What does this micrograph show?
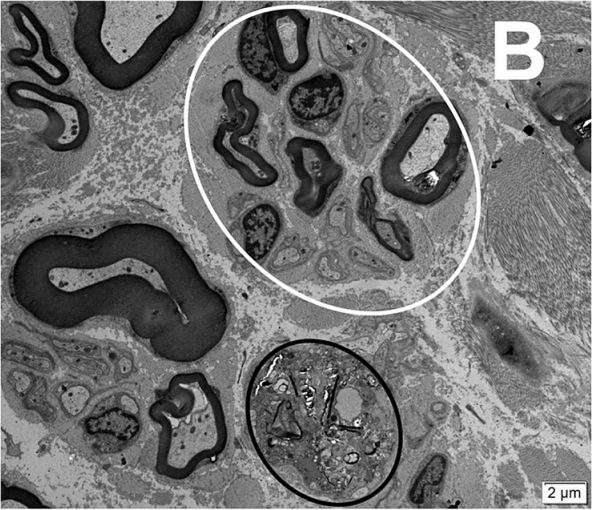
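An electron micrograph of peripheral nerve in cross section shows large fibers with thick, electron-dense myelin sheaths, some folded or irregular, set in collagen-rich endoneurium. In one area a group of small axons wrapped by thin dark myelin sheaths clusters together with Schwann cell nuclei among them, a regenerating cluster. Nearby a rounded profile is filled with disordered debris, membranous fragments and vacuoles with no intact axon, a degenerating fiber. Bundles of collagen fibrils run along the right side, and small unmyelinated axons lie in Schwann cell cytoplasm between the larger fibers.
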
